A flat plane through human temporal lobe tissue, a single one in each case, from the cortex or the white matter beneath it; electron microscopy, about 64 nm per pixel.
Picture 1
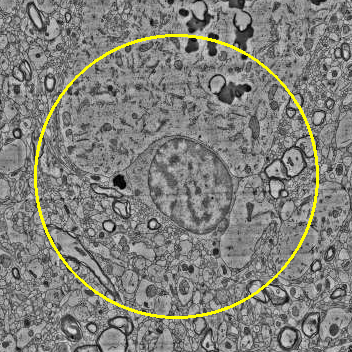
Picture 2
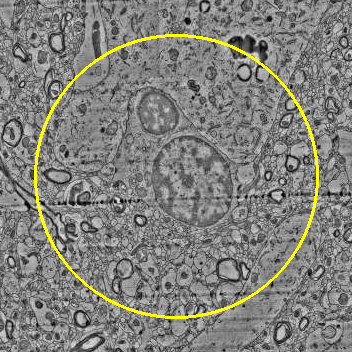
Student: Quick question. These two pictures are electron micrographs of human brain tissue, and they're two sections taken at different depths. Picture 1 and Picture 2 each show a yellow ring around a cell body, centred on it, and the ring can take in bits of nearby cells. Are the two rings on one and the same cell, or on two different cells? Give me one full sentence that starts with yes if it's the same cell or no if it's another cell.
Yes, the two rings belong to one cell, not to two.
